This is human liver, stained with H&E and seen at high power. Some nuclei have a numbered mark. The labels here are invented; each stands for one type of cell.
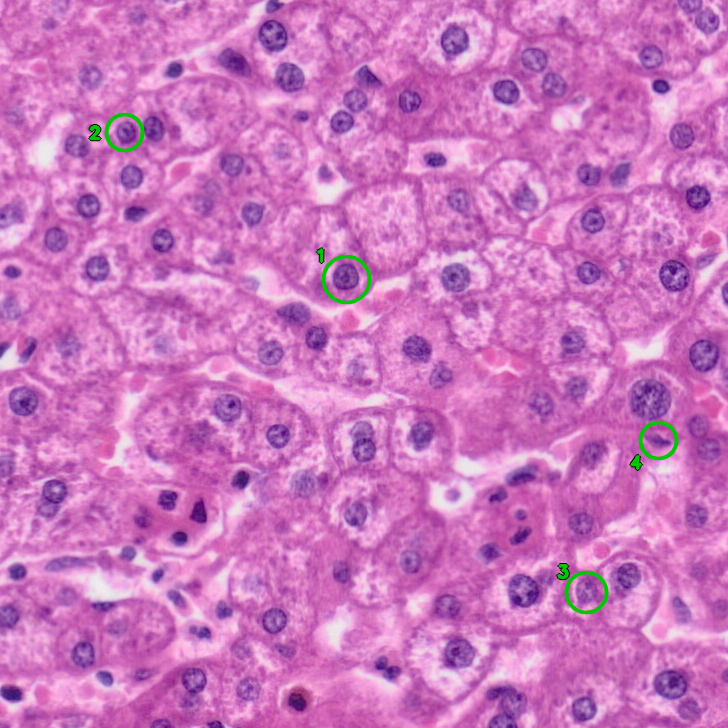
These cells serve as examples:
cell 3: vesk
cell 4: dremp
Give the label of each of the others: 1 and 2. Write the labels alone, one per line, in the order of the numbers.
vesk
vesk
